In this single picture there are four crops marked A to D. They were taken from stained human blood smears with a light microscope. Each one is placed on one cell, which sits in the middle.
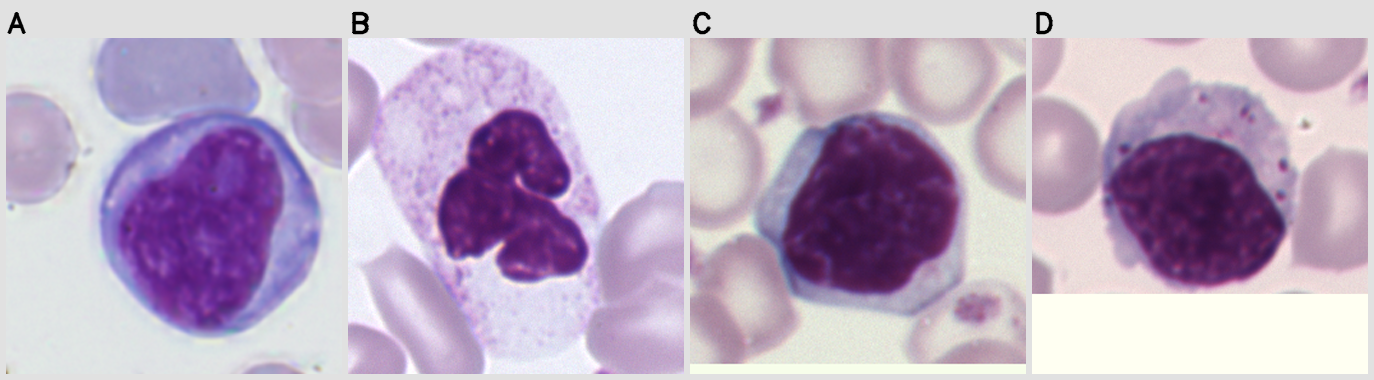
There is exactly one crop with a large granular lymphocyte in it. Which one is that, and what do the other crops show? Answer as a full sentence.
For crop D the cell is a large granular lymphocyte, while crop A is a plasma cell, crop B is a segmented neutrophil and crop C is a typical lymphocyte.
